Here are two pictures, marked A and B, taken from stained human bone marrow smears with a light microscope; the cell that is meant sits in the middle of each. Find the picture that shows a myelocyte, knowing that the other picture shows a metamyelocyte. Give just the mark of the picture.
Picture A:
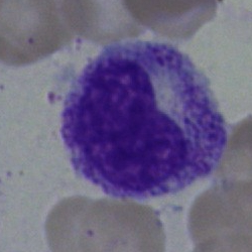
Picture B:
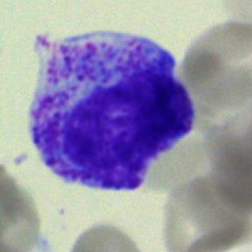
B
